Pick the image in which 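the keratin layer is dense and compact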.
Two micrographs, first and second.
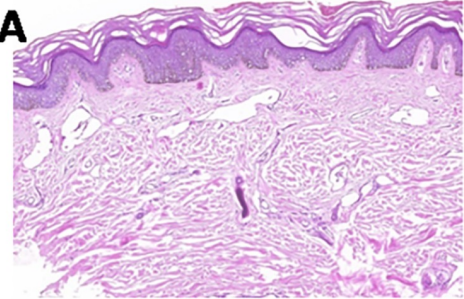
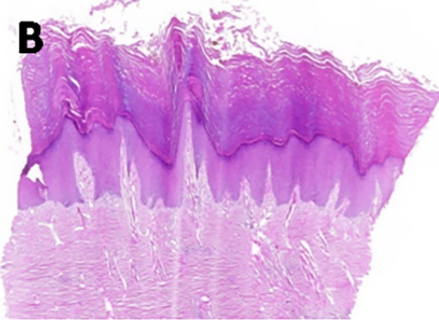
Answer: the second image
